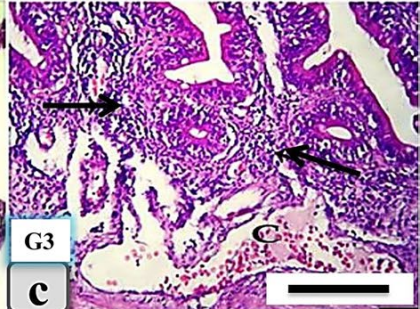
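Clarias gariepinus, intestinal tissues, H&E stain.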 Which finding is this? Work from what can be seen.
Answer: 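The tissue between glands is packed with many small, dark, round nuclei. Dilated spaces containing red blood cells are present.
Conclusion: numerous lymphocytes infiltration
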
